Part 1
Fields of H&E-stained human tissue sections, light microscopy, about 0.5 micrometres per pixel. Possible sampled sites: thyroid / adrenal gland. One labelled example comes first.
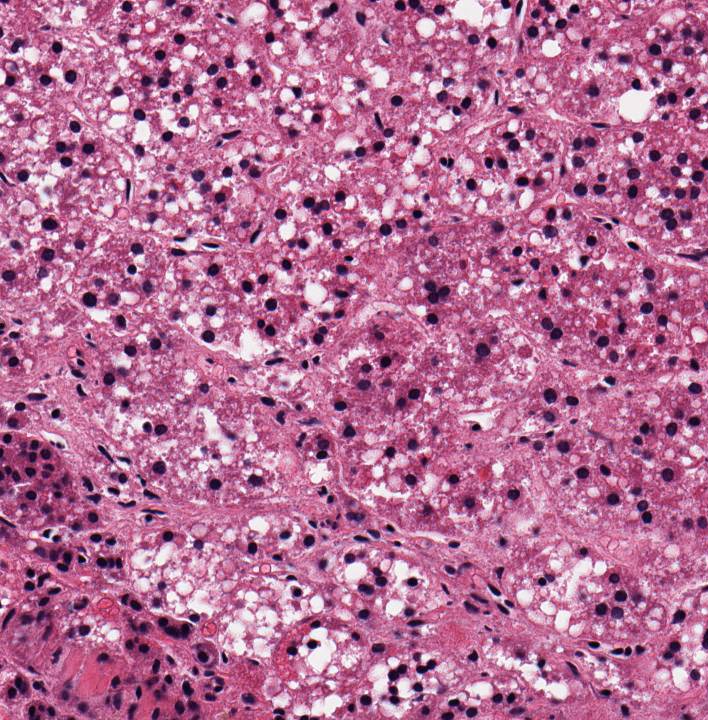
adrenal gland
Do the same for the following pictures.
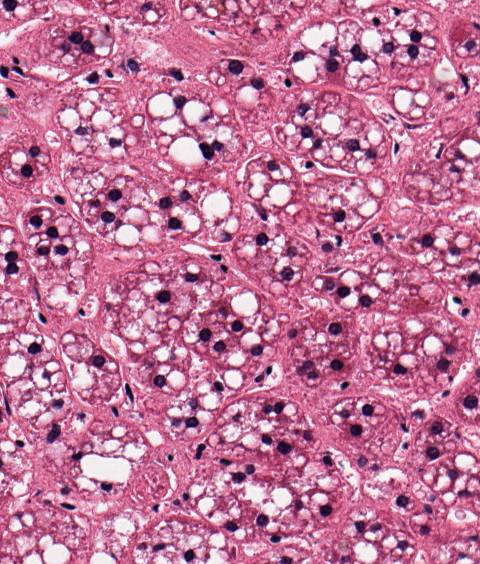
adrenal gland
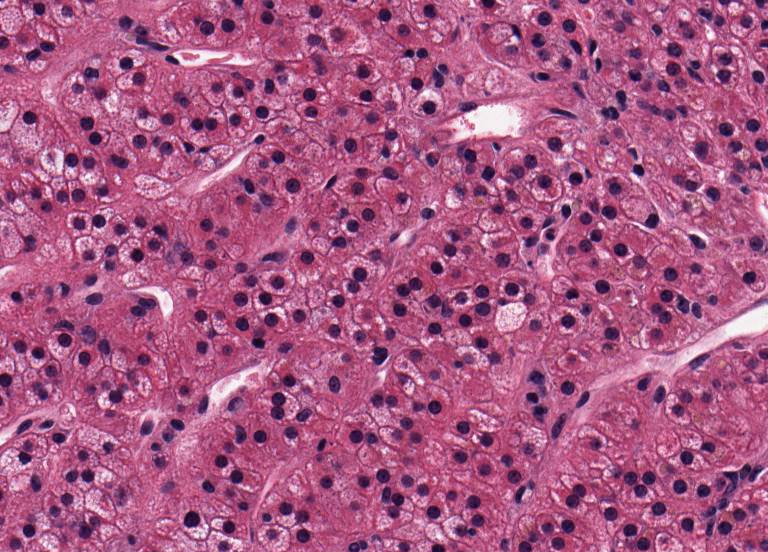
adrenal gland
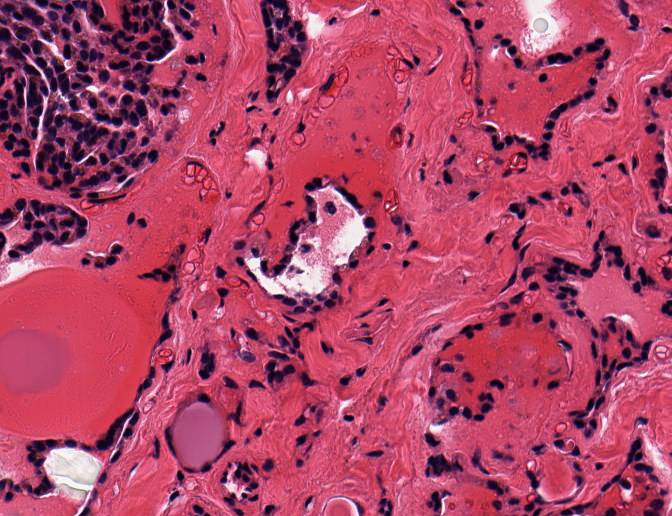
thyroid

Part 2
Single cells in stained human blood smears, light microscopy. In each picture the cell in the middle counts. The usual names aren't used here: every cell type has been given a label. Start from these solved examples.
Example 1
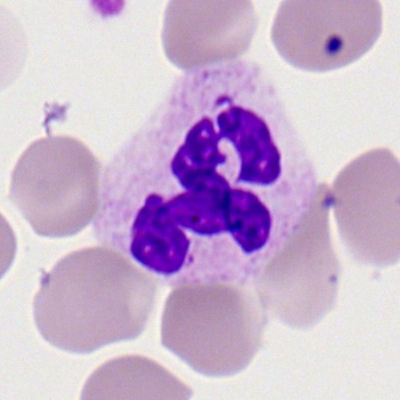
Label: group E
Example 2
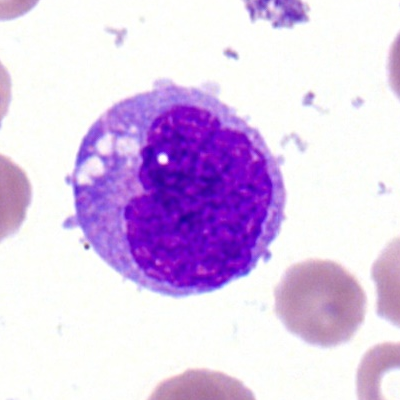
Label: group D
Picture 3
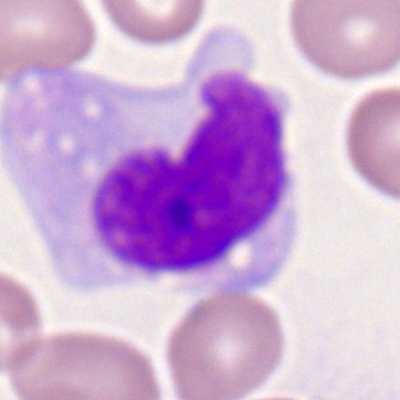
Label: group D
